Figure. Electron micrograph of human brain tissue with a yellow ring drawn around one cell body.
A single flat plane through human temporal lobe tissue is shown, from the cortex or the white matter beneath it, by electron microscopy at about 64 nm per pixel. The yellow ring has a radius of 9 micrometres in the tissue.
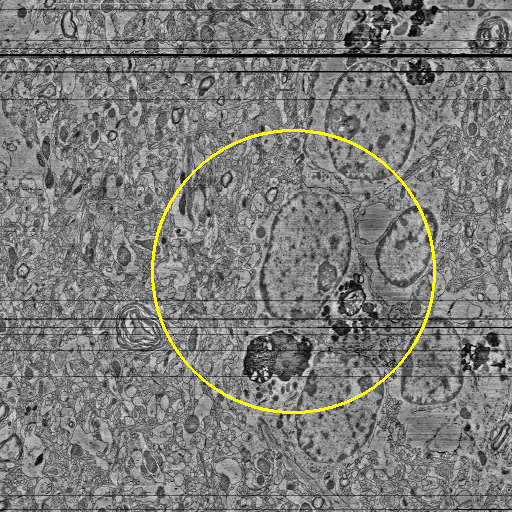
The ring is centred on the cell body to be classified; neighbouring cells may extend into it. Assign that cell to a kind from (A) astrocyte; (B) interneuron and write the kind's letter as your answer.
A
